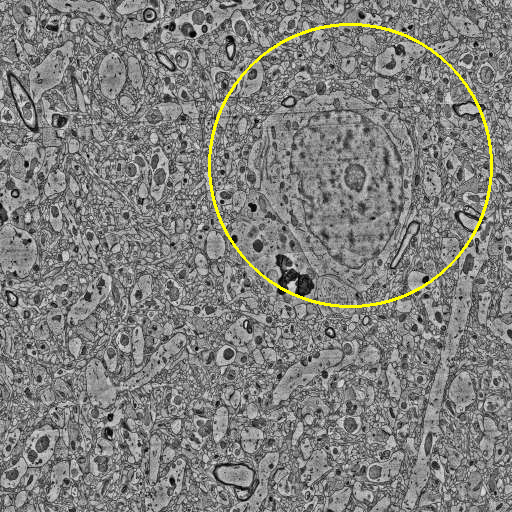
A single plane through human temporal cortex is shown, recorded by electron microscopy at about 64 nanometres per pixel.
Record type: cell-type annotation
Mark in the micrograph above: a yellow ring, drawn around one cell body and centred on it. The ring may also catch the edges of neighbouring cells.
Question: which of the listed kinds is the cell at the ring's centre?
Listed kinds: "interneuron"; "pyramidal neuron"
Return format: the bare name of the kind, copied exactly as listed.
interneuron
